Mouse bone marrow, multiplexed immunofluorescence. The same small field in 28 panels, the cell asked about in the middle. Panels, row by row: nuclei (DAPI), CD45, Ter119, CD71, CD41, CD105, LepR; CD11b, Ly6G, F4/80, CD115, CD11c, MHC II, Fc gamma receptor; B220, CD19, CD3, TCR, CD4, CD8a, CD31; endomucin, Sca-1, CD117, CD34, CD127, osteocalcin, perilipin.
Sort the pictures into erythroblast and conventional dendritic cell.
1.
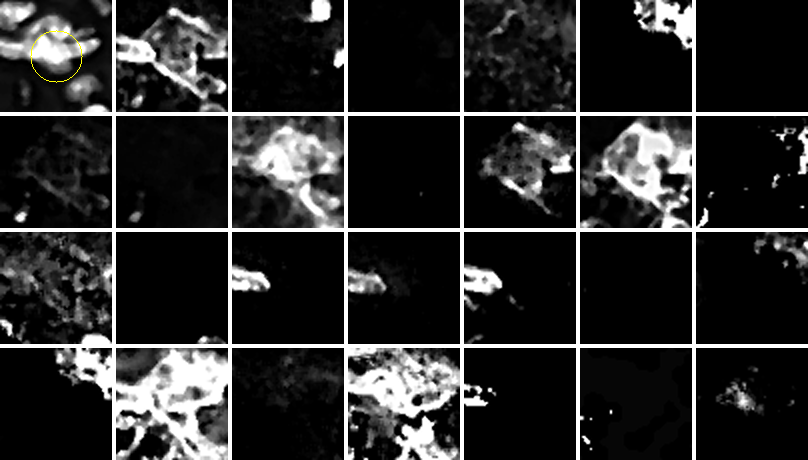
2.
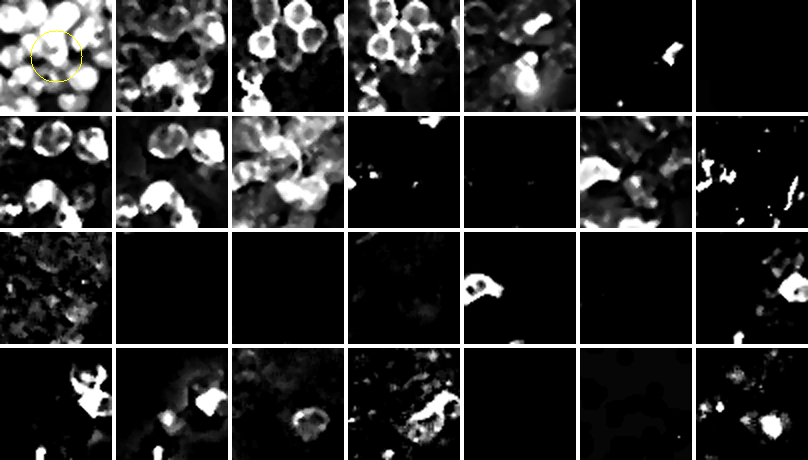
Conventional dendritic cells: 1
Erythroblasts: 2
